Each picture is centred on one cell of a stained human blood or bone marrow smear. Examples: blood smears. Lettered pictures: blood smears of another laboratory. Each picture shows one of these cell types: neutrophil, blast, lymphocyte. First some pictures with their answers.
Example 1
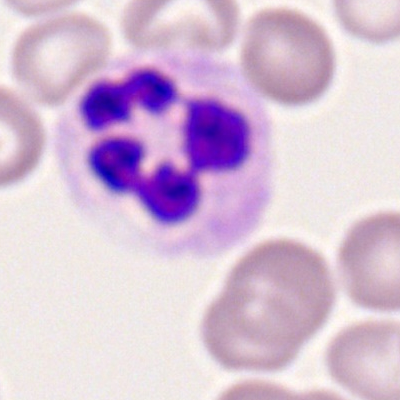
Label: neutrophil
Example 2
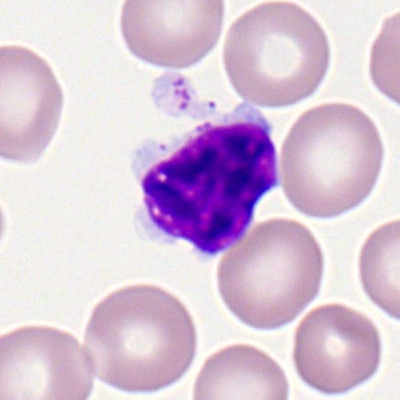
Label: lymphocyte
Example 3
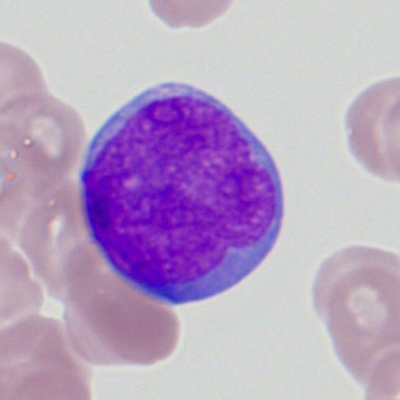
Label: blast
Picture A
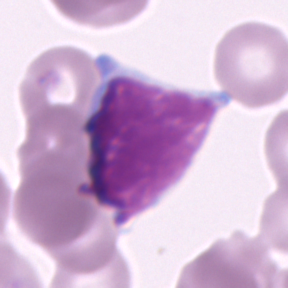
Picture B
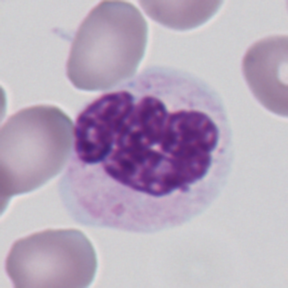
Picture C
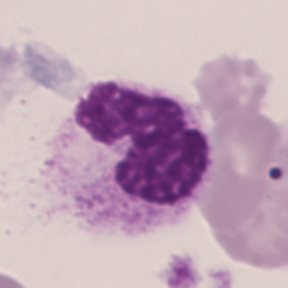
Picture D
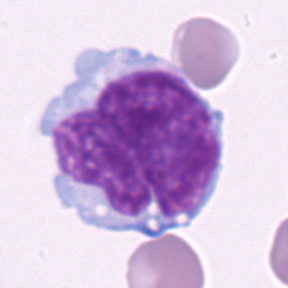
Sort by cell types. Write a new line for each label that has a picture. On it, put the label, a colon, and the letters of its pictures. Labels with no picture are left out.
neutrophil: B, C
blast: D
lymphocyte: A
